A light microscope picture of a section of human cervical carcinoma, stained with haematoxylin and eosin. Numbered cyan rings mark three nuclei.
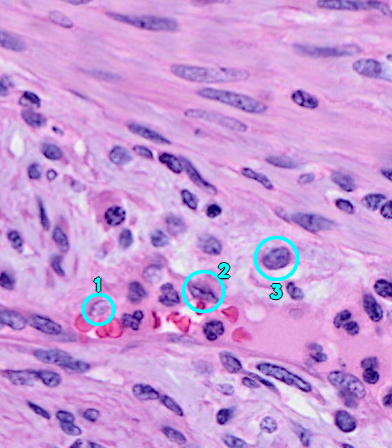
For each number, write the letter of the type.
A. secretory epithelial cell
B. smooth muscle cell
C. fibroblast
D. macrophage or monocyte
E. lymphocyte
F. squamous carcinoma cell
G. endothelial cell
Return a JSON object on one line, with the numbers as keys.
{"1": "G", "2": "G", "3": "D"}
